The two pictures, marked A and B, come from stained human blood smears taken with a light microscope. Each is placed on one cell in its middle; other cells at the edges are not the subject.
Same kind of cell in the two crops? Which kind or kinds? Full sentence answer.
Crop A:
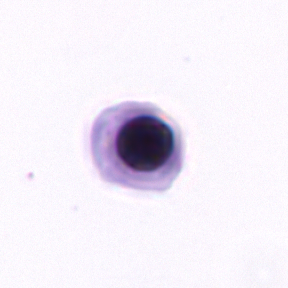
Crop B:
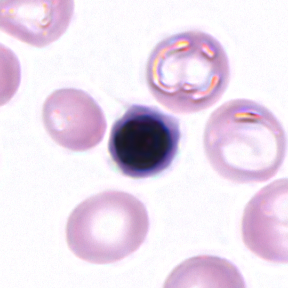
Yes, they do, both crops show normoblasts.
